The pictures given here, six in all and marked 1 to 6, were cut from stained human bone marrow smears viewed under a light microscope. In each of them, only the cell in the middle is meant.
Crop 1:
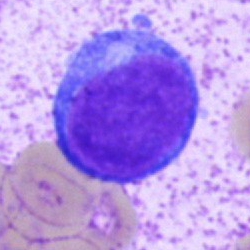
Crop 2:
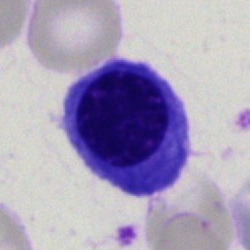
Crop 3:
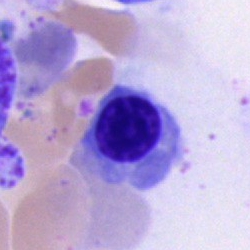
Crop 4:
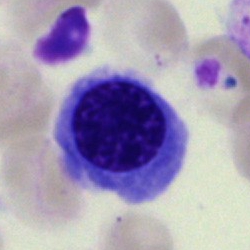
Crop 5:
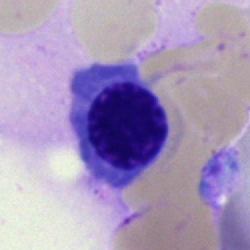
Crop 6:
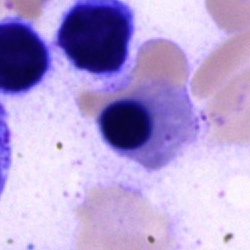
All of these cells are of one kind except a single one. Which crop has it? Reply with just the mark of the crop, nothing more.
1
